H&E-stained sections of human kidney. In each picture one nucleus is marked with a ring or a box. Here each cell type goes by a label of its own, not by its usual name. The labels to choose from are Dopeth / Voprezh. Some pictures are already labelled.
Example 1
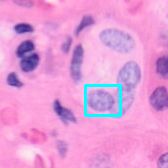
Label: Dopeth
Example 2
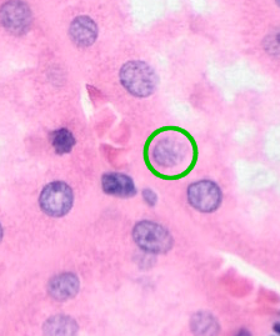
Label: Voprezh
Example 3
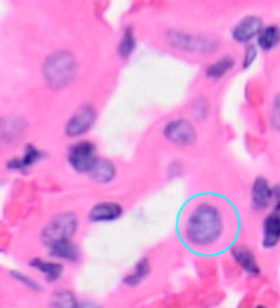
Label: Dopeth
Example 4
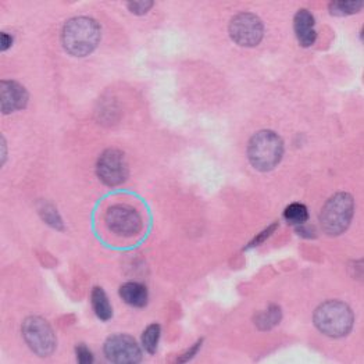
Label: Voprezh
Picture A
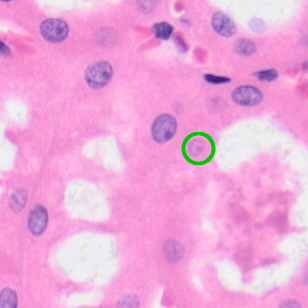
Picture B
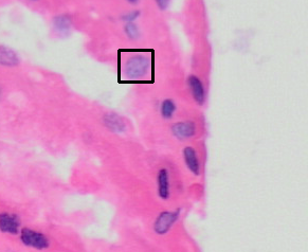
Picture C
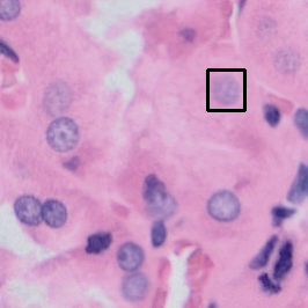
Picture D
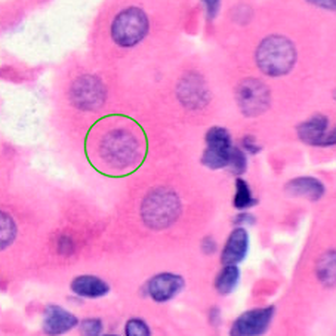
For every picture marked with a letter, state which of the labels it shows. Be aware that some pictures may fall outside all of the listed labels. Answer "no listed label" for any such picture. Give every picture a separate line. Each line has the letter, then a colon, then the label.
A: Voprezh
B: no listed label
C: Voprezh
D: Voprezh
